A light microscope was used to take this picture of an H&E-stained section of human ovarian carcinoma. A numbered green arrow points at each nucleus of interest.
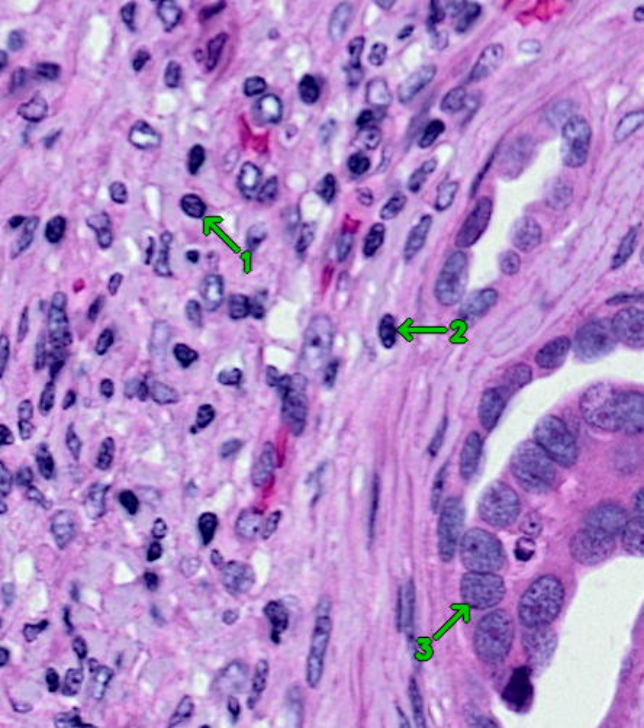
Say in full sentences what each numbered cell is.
Cells 1 and 2 are lymphocytes. Cell 3 is a carcinoma cell.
